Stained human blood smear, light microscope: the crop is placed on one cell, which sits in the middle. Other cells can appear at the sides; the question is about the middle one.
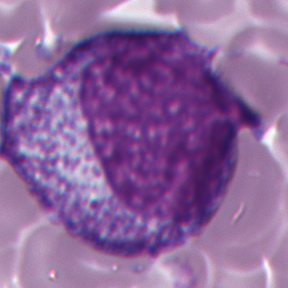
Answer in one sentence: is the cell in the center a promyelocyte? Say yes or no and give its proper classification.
Yes, the central cell here is a promyelocyte.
